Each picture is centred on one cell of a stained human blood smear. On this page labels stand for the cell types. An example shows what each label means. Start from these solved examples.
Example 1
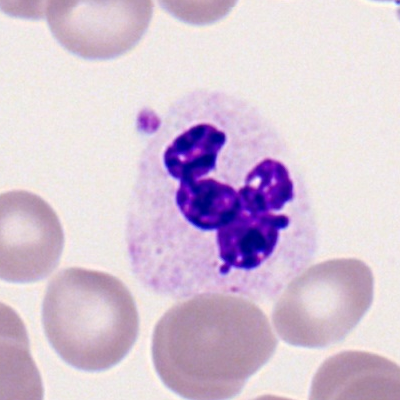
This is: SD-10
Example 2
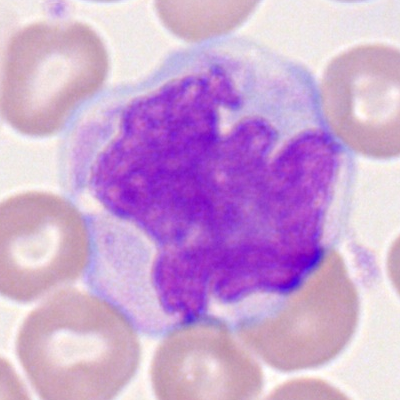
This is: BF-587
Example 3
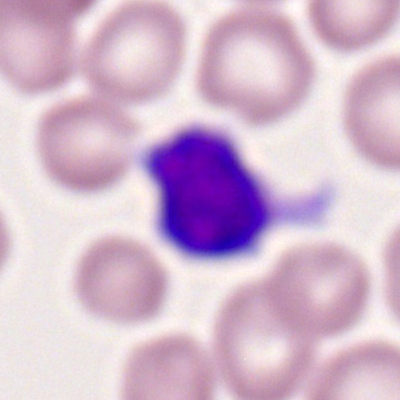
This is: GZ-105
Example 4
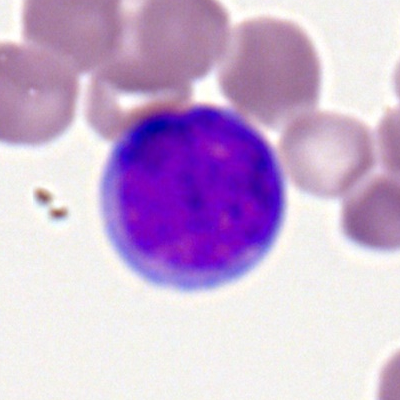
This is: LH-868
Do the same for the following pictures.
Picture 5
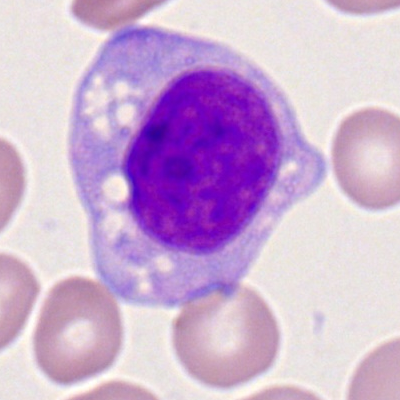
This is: BF-587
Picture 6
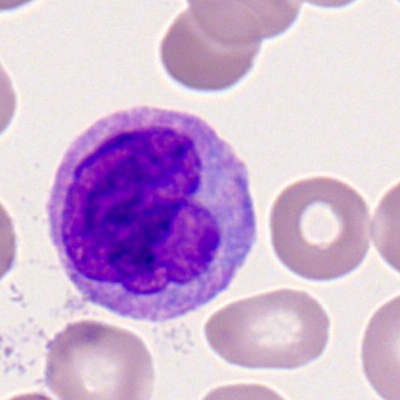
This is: BF-587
